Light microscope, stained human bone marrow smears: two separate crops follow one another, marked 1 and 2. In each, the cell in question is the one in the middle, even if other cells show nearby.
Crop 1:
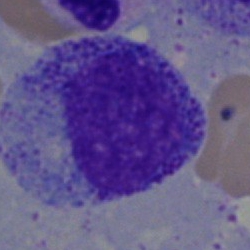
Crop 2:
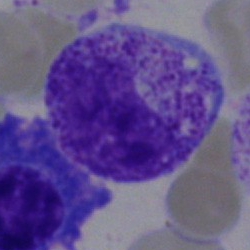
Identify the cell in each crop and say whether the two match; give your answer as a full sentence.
No, crop 1 is where a promyelocyte is, and crop 2 is where a myelocyte is.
